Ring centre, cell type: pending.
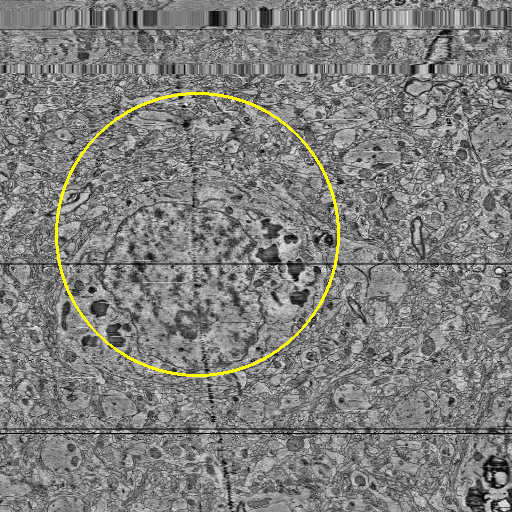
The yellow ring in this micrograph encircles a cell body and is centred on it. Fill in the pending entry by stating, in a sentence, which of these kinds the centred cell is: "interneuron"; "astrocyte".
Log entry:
The centred cell is recorded as an interneuron.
